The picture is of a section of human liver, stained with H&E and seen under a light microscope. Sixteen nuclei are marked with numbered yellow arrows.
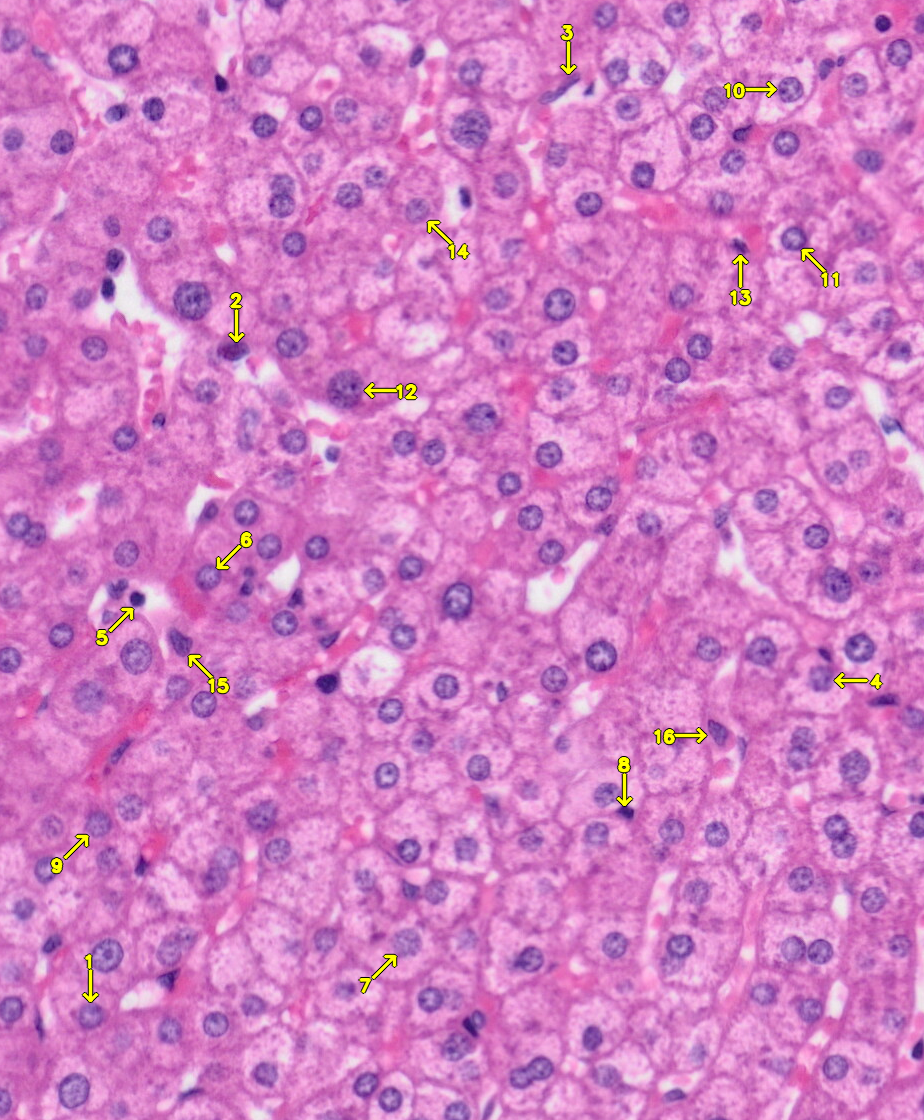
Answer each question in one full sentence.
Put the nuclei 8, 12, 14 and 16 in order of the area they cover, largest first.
Largest first, the order by area is 12, 14, 16, 8.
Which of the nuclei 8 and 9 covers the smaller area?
The smaller nucleus is 8, and 9 covers roughly 2.5 times its area.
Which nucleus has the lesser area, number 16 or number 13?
With nucleus 16 about 2 times its size, nucleus 13 is the smaller of the two.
